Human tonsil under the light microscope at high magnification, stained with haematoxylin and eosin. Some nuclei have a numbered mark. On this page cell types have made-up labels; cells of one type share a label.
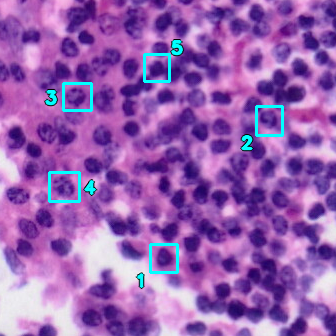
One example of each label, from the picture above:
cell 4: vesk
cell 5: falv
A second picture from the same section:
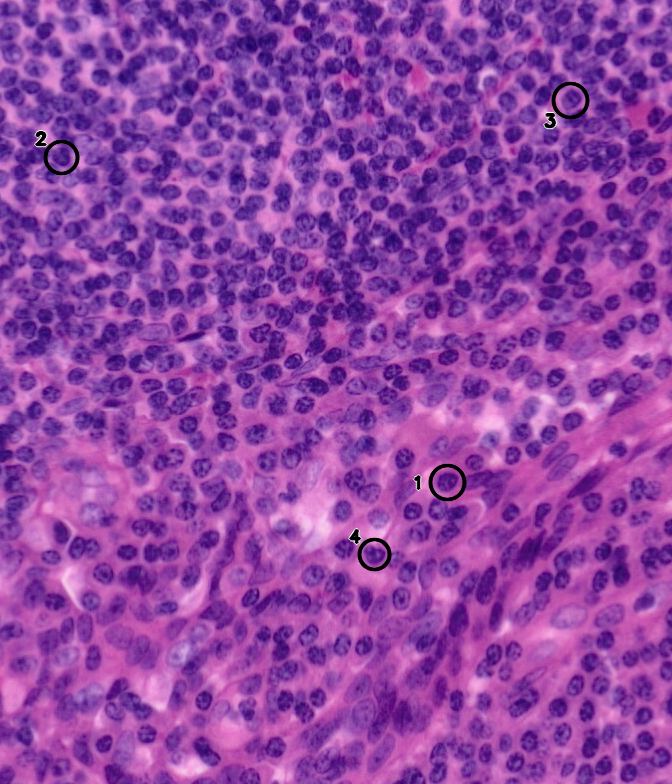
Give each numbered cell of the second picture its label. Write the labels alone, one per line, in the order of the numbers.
vesk
falv
falv
vesk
